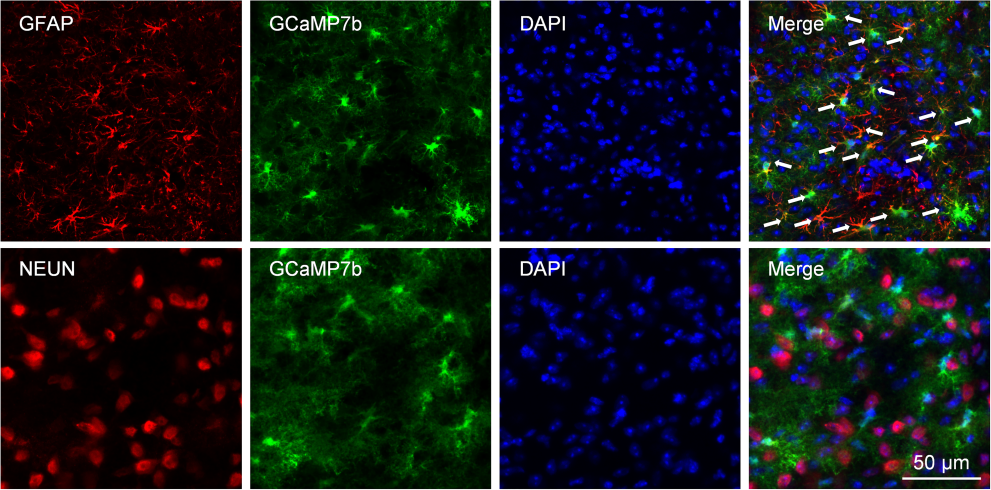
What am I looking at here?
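Blue nuclei are scattered densely throughout. In the bottom row the red label instead fills rounded, plump cell bodies without fine processes, and these sit beside, not on, the green star-shaped cells, so the two populations remain separate in the merge.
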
